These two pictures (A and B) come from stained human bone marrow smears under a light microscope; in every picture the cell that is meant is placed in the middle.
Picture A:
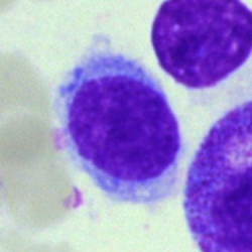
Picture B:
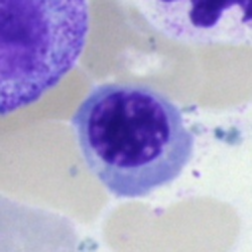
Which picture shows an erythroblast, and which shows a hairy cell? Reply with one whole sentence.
In picture A the cell is a hairy cell; in picture B, an erythroblast.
